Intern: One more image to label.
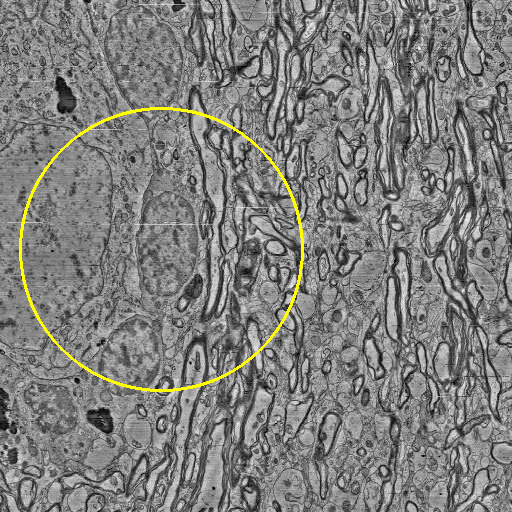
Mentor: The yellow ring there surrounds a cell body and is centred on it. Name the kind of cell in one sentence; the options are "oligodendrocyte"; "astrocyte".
The ring marks the cell body of an oligodendrocyte.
